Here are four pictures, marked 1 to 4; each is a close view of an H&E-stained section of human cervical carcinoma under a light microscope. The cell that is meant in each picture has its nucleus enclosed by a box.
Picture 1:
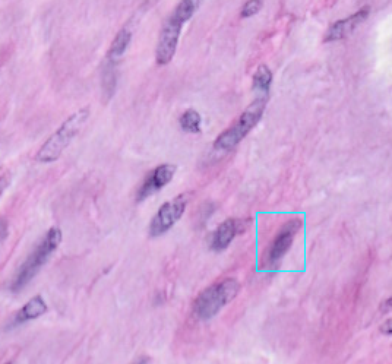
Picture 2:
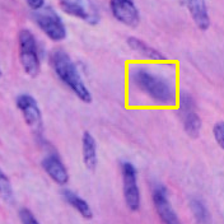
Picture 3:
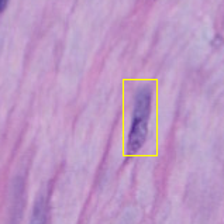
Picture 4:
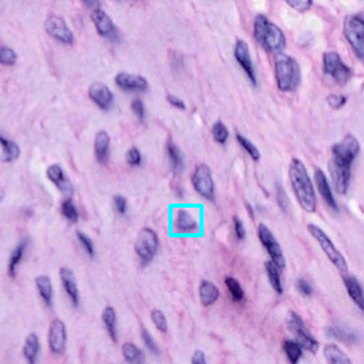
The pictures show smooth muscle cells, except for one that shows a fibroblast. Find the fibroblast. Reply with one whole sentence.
Picture 2 is the one that shows the fibroblast.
